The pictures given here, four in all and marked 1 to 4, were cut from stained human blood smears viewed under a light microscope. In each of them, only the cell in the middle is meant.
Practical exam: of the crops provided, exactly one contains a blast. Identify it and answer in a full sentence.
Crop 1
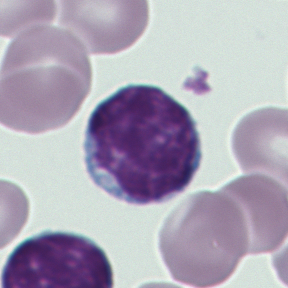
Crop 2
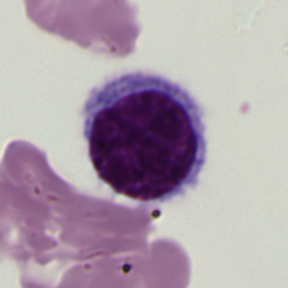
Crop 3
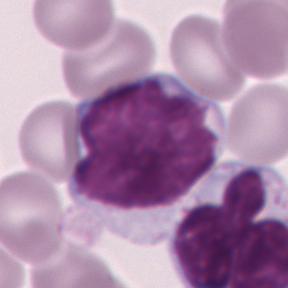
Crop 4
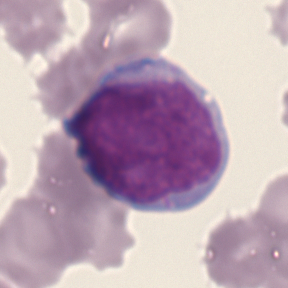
Crop 4 is the crop whose central cell is a blast.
